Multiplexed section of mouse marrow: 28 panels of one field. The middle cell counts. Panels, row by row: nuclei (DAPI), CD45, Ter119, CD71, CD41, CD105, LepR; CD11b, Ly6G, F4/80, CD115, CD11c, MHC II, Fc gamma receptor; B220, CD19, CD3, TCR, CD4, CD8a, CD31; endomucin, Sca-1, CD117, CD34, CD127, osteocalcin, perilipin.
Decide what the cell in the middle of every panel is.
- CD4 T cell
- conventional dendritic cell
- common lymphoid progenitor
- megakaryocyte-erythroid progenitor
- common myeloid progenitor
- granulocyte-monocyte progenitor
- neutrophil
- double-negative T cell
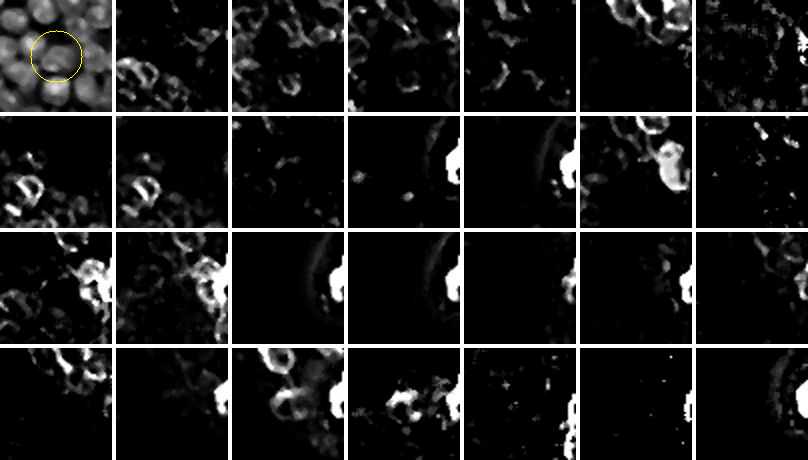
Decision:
common myeloid progenitor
